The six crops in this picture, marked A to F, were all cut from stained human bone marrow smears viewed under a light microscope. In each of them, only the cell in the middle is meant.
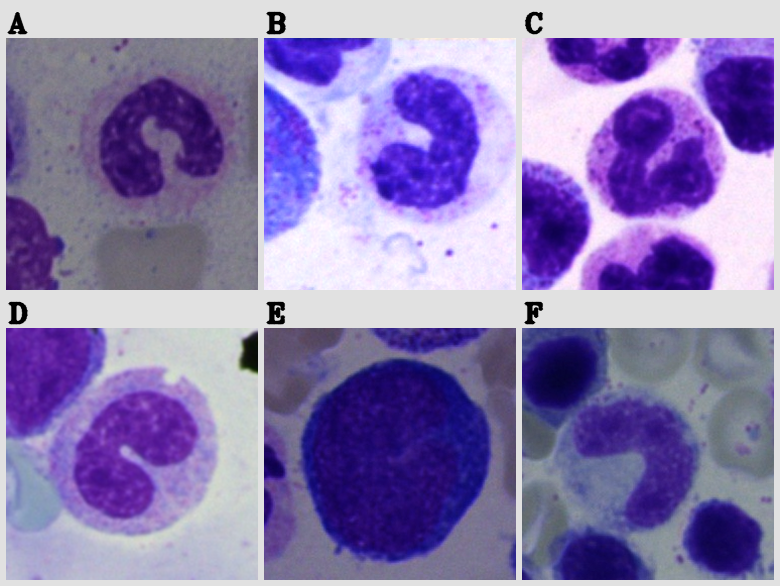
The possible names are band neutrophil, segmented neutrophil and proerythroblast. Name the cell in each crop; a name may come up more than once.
A: segmented neutrophil
B: band neutrophil
C: segmented neutrophil
D: band neutrophil
E: proerythroblast
F: band neutrophil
